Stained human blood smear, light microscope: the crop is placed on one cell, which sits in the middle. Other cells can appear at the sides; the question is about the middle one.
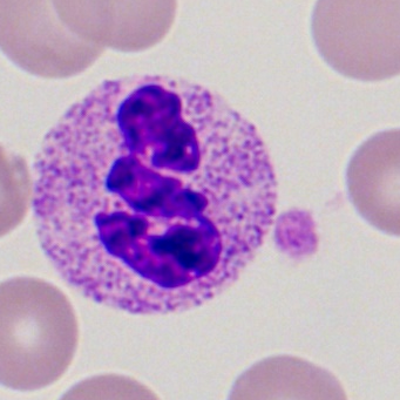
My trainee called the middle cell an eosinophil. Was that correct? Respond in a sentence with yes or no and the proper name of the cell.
No, at the centre of this crop is found a segmented neutrophil instead of an eosinophil.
